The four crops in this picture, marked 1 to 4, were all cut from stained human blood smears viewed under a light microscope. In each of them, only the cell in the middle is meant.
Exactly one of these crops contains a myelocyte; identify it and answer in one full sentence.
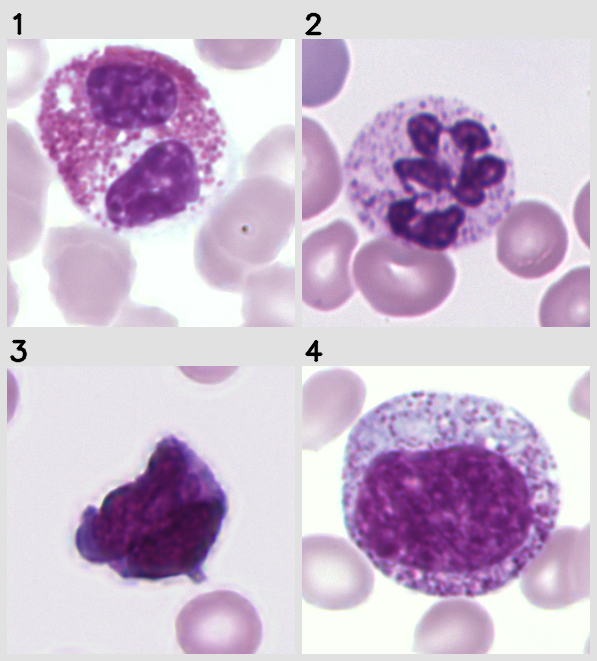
It is crop 4 that shows a myelocyte.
